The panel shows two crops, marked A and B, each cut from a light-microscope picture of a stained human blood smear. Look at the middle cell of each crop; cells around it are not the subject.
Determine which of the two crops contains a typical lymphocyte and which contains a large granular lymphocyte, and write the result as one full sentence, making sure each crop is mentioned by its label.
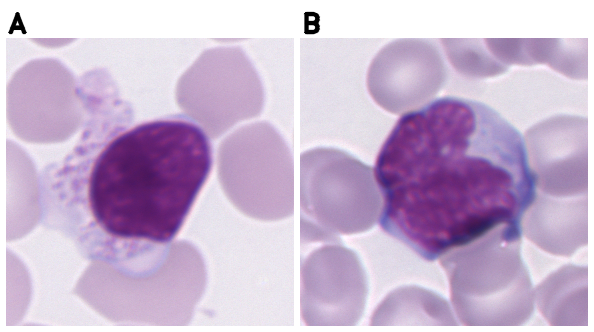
Identification: crop A is a large granular lymphocyte; crop B is a typical lymphocyte.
